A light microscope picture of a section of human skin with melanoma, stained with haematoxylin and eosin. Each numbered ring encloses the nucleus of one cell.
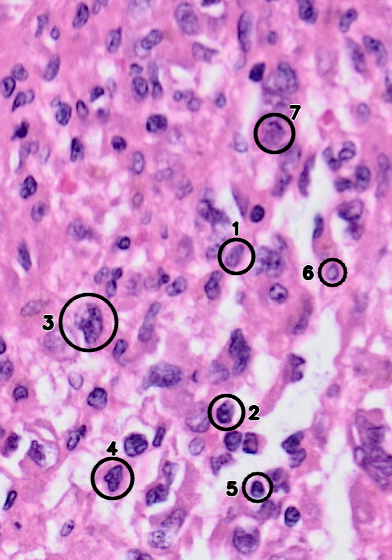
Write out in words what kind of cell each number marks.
Cells 1, 4 and 6 are macrophages or monocytes. Cells 2 and 5 are lymphocytes. Cells 3 and 7 are melanoma cells.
